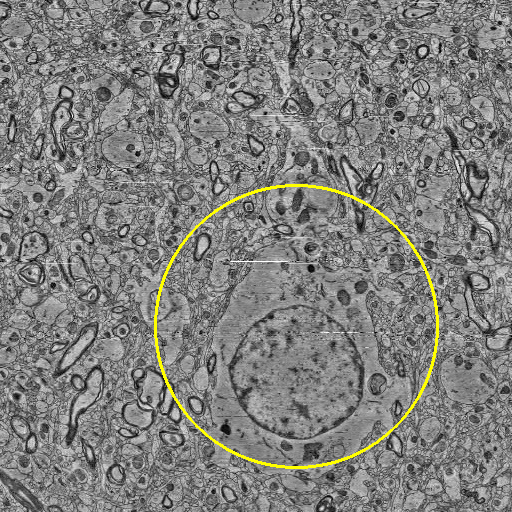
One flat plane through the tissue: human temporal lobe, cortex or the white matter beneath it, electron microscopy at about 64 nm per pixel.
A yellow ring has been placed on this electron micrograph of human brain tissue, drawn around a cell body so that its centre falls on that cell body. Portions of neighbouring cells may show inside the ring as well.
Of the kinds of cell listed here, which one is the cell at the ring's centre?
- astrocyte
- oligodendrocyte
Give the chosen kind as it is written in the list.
astrocyte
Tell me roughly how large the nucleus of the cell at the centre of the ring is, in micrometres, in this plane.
The ringed cell's nucleus is about 9 micrometres across in this plane.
